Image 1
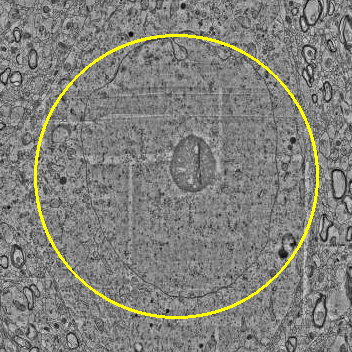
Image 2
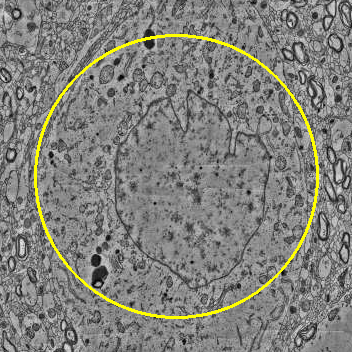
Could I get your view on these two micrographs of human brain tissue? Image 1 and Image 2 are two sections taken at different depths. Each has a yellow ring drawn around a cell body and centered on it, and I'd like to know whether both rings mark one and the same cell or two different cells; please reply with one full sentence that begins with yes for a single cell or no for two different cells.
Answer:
Yes, only one cell is involved, and both rings mark it.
